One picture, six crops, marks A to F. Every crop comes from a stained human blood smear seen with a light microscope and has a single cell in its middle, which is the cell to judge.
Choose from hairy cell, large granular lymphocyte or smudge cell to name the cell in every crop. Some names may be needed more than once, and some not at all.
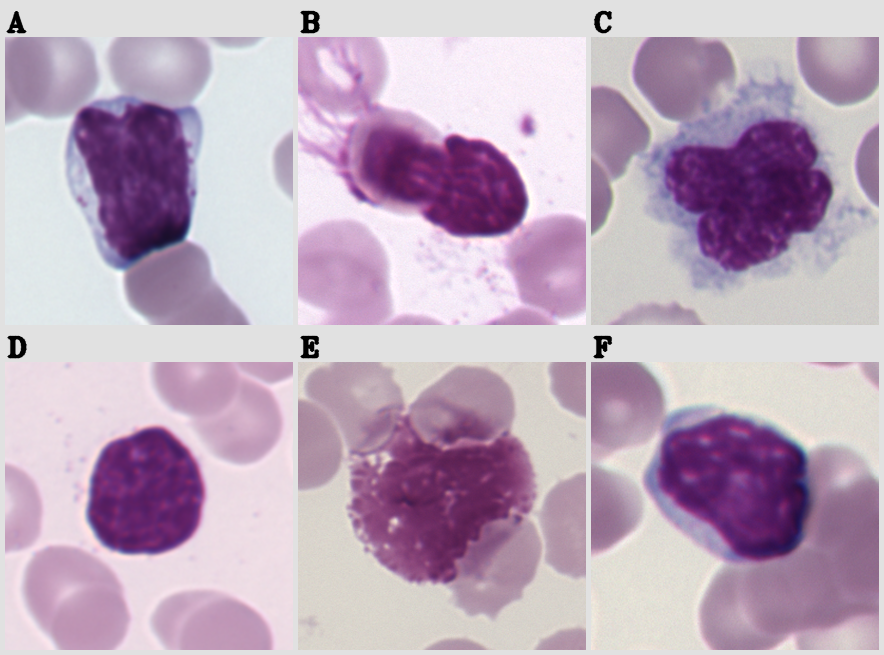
A: large granular lymphocyte
B: smudge cell
C: hairy cell
D: smudge cell
E: smudge cell
F: large granular lymphocyte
